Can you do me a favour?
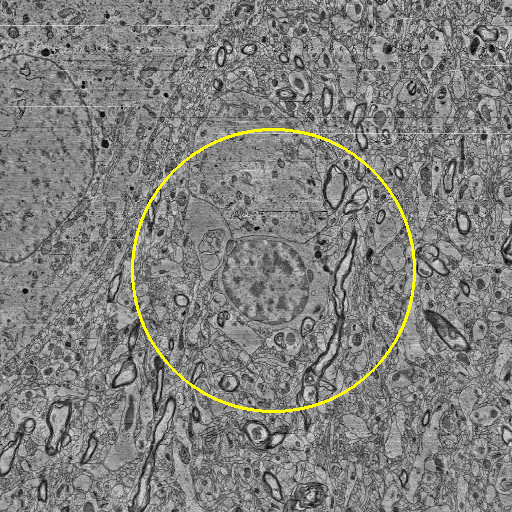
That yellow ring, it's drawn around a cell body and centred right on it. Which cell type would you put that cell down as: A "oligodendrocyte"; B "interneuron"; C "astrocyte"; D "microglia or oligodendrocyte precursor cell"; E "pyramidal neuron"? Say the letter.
A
